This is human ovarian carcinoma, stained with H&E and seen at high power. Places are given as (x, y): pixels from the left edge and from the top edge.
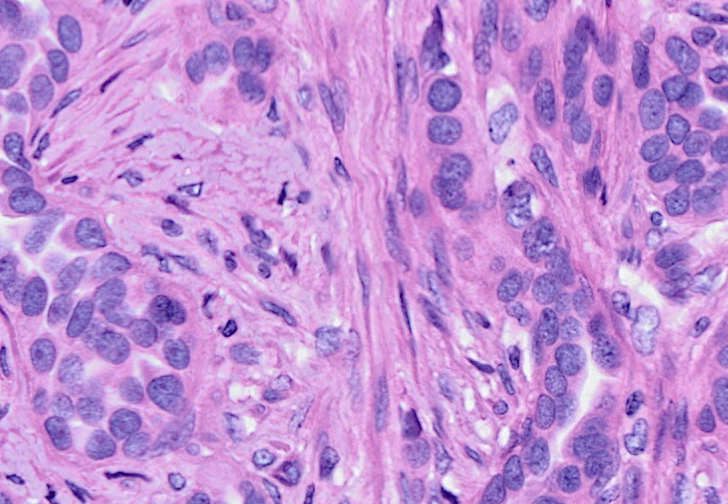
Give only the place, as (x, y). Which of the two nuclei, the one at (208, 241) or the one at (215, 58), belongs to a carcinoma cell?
(215, 58)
